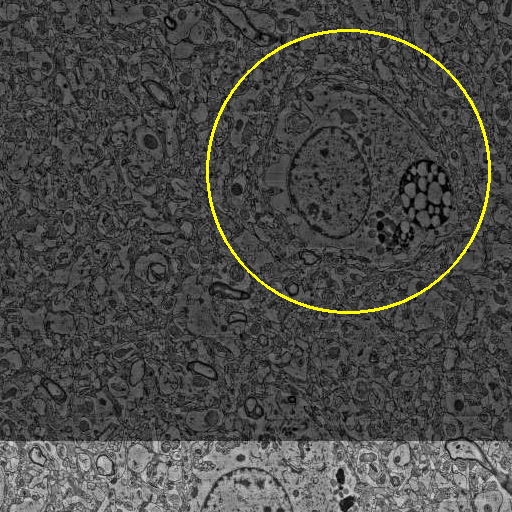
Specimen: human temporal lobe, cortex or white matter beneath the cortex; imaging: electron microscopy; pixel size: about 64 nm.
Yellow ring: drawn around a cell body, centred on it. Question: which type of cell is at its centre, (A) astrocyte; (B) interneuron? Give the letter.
A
